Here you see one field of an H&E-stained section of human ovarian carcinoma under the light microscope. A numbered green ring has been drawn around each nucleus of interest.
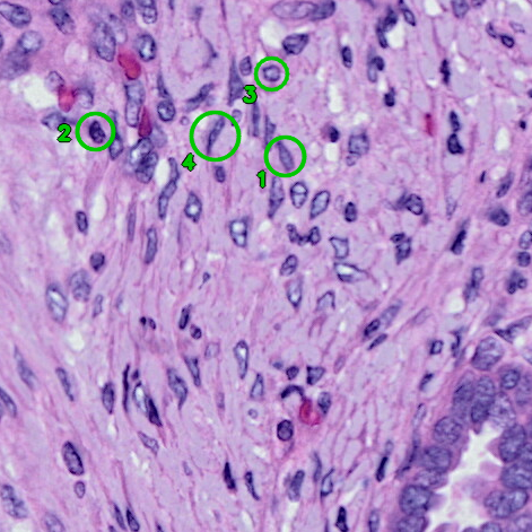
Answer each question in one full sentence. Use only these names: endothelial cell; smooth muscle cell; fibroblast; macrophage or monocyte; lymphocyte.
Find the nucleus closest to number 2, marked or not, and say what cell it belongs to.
The cell nearest to number 2 is a macrophage or monocyte.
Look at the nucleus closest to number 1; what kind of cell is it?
The cell nearest to number 1 is a fibroblast.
